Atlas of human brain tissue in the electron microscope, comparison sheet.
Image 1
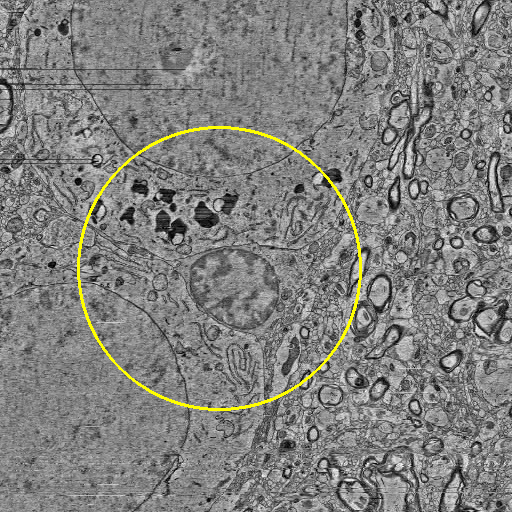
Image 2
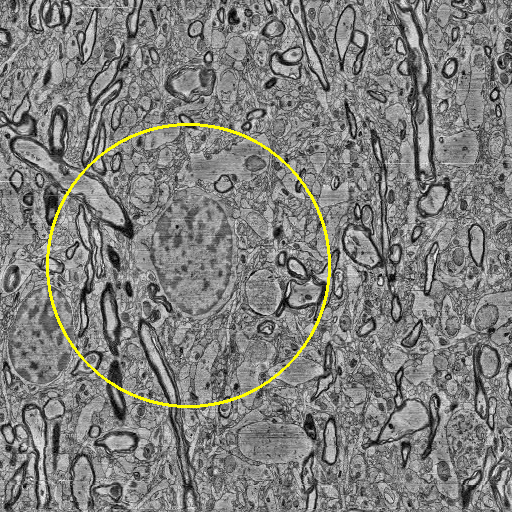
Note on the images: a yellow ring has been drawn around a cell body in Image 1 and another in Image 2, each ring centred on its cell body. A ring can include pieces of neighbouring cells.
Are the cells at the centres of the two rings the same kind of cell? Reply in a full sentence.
Yes, both cells are of the same kind.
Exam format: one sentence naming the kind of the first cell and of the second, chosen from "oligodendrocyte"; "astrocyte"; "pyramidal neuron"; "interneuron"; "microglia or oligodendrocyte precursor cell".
Both rings mark an oligodendrocyte, one in each picture.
